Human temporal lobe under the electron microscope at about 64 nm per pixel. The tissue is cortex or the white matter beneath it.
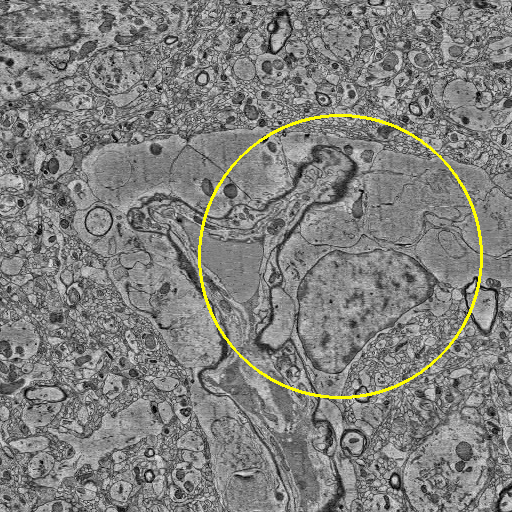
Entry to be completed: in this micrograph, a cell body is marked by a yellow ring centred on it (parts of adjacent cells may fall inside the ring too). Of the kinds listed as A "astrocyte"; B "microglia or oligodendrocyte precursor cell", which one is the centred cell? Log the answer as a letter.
B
